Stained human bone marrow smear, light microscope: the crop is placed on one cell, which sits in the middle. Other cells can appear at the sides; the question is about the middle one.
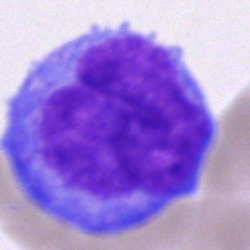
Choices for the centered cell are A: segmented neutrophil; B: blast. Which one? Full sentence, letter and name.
The central cell, a blast, is correctly identified by option B.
